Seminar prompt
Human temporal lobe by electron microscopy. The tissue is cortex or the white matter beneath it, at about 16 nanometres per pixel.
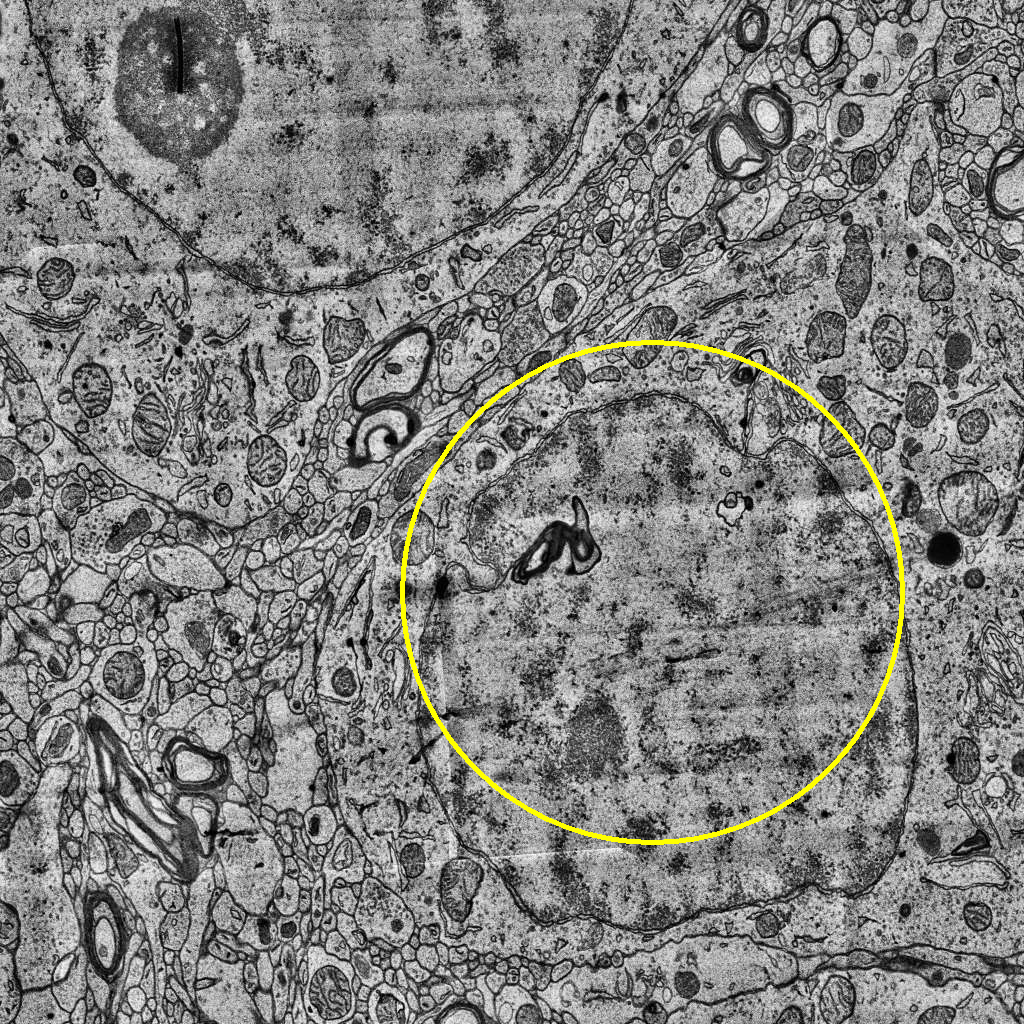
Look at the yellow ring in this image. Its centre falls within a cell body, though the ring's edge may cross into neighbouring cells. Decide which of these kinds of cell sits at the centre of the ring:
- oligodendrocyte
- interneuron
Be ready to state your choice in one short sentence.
The kind of cell at the ring's centre is an interneuron.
